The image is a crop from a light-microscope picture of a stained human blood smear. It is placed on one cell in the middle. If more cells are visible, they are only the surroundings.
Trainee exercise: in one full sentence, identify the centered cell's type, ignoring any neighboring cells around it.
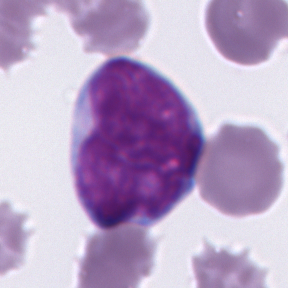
The cell under consideration, at the middle of the crop, is a myeloblast.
